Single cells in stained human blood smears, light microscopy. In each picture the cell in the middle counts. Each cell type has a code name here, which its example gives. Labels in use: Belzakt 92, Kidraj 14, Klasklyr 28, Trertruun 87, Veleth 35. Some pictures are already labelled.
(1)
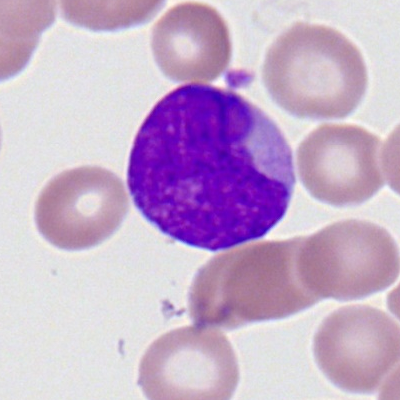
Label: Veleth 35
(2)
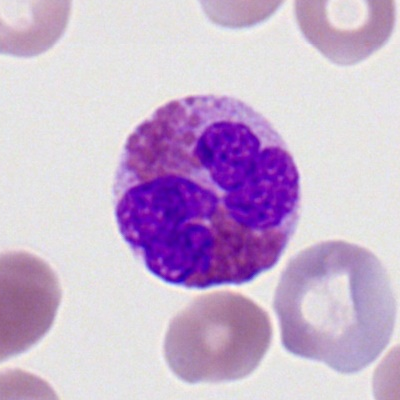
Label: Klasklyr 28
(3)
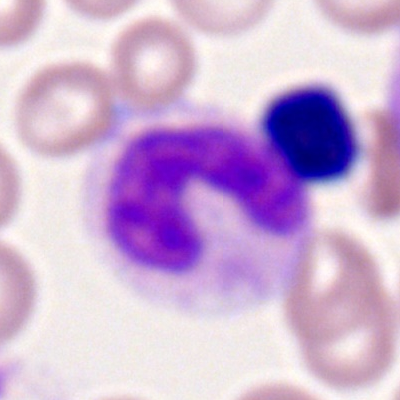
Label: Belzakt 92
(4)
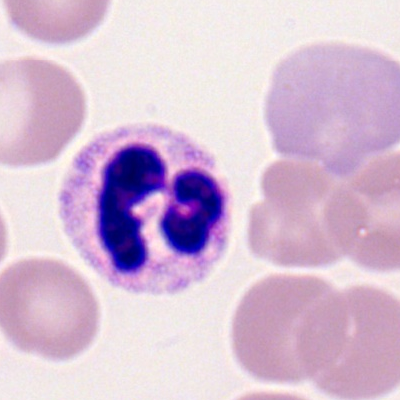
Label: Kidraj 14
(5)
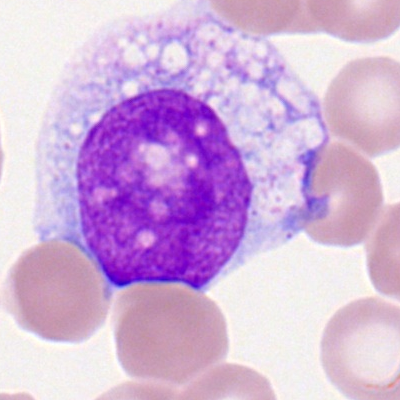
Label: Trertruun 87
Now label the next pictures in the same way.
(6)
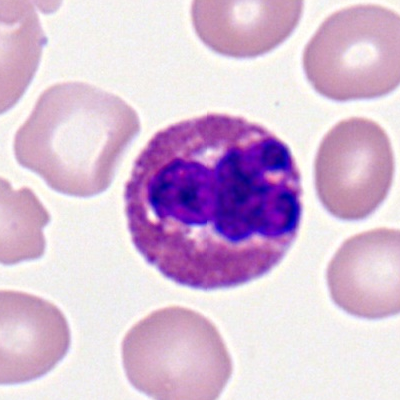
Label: Klasklyr 28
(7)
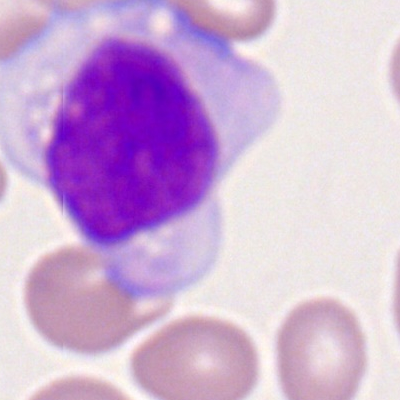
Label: Trertruun 87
